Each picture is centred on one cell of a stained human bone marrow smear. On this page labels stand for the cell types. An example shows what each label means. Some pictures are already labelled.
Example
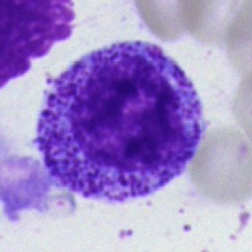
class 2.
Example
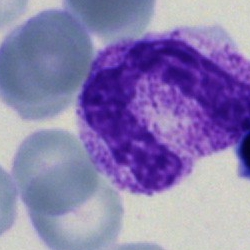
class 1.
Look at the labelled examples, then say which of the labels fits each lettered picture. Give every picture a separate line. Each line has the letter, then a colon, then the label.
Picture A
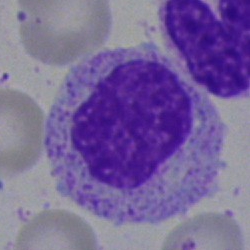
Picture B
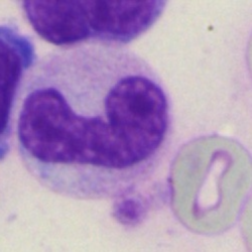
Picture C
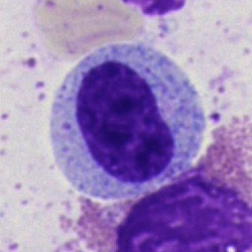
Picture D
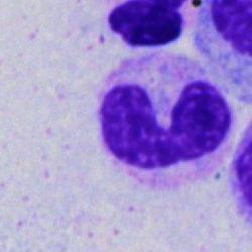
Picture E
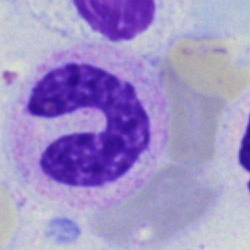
A: class 2.
B: class 1.
C: class 2.
D: class 1.
E: class 1.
